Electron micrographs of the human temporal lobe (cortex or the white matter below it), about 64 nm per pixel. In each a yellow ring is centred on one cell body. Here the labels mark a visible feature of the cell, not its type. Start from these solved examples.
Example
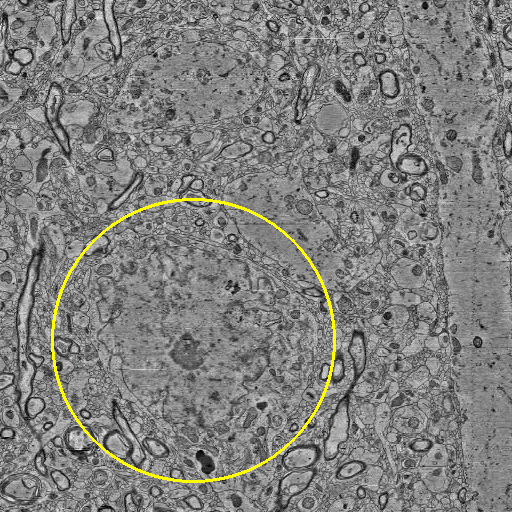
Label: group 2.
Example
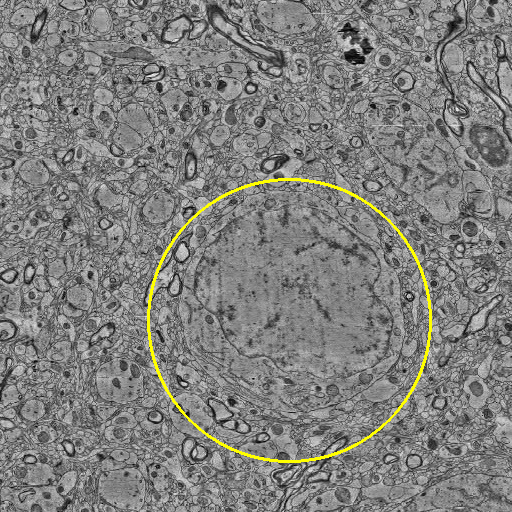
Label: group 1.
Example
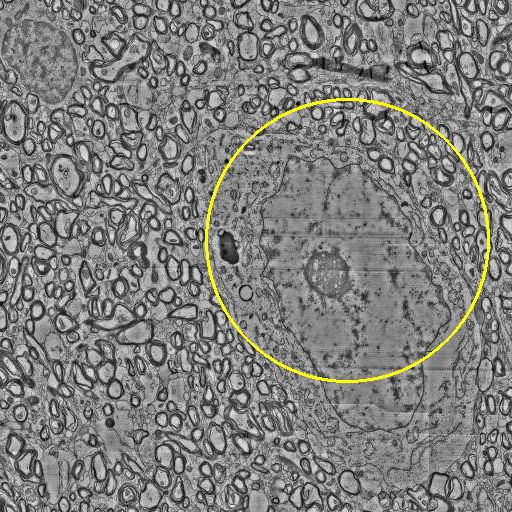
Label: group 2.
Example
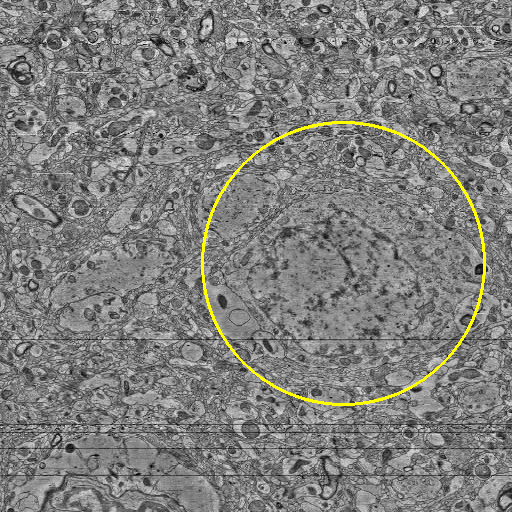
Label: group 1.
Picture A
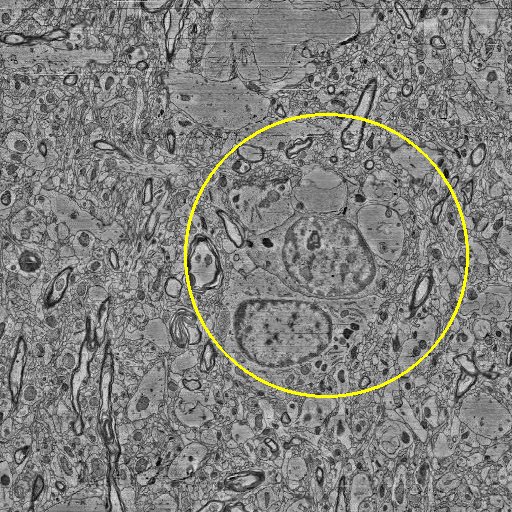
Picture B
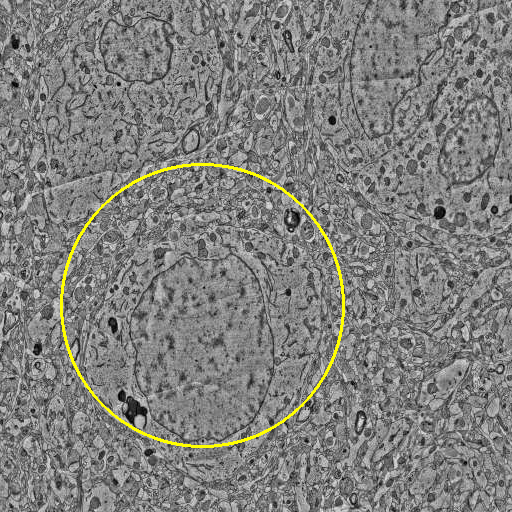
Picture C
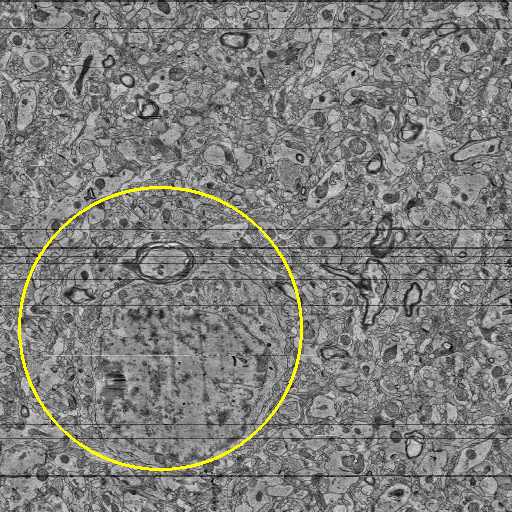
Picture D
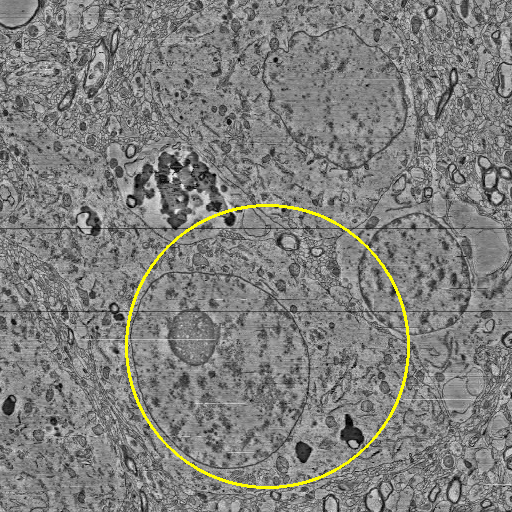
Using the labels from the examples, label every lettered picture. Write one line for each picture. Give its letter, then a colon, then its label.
A: group 2.
B: group 1.
C: group 1.
D: group 2.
